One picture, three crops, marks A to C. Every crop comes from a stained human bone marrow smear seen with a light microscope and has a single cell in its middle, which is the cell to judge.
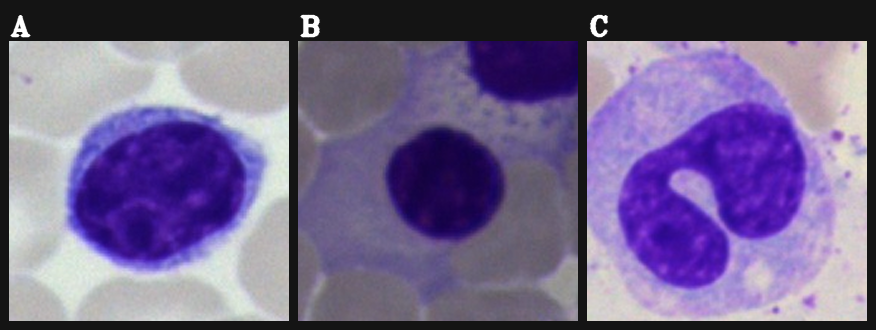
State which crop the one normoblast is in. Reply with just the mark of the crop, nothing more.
B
